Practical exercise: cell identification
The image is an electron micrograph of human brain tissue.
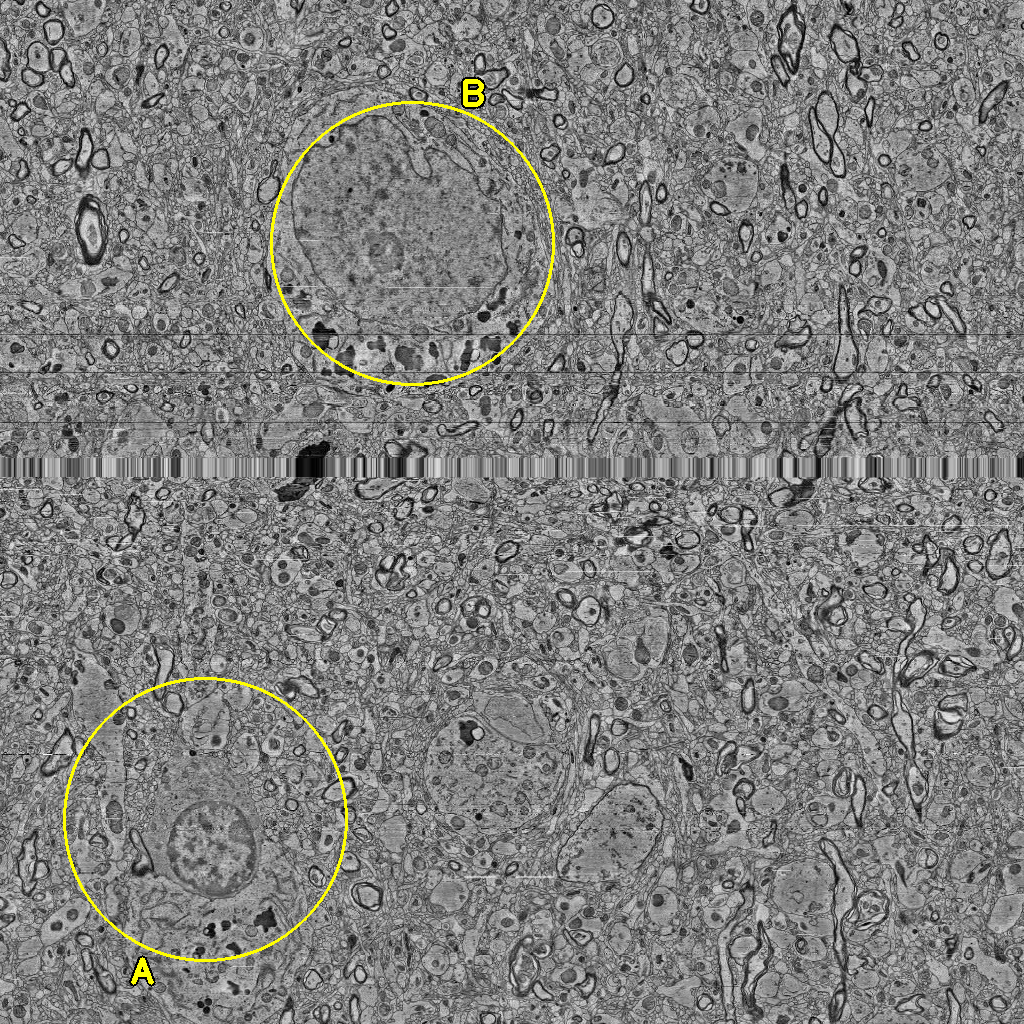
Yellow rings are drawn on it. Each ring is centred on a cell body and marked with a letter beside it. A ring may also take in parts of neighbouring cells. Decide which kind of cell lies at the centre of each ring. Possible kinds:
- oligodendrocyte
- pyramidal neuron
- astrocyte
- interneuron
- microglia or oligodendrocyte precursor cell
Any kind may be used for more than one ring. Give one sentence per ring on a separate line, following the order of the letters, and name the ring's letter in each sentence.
The cell in the middle of ring A is an oligodendrocyte.
The cell in the middle of ring B is an interneuron.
